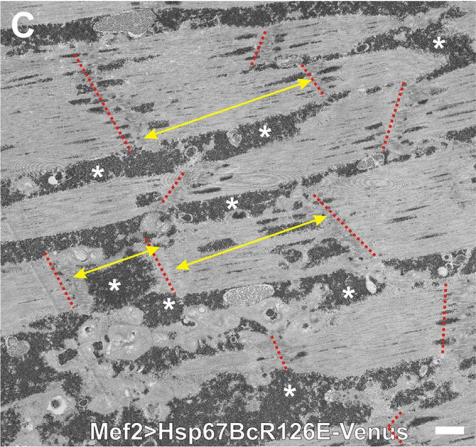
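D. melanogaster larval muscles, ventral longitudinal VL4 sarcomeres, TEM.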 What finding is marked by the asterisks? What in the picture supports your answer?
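Broad bands of dense dark granules run between the myofibrils. The granular masses surround rounded organelles. The answer: excessive accumulation of glycogen granules.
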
